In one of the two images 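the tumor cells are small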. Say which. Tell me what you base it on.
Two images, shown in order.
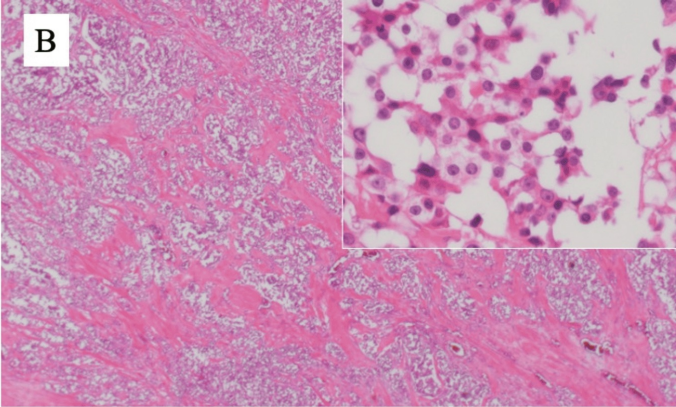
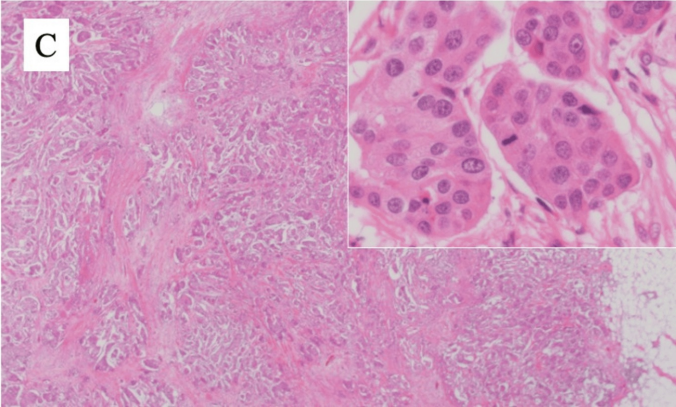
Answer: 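Second image: inset shows large cells with abundant pink cytoplasm and large nuclei in cohesive nests.
The first image.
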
